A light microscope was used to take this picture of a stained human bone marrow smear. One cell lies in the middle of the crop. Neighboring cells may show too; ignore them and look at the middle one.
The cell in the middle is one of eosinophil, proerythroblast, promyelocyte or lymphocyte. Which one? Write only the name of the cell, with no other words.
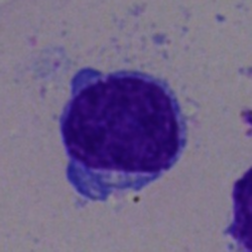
lymphocyte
